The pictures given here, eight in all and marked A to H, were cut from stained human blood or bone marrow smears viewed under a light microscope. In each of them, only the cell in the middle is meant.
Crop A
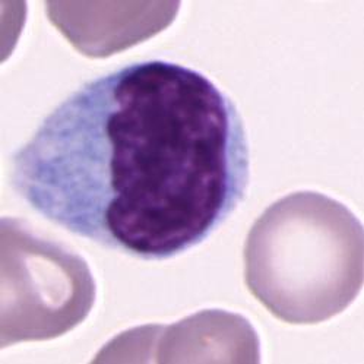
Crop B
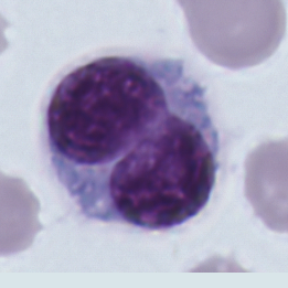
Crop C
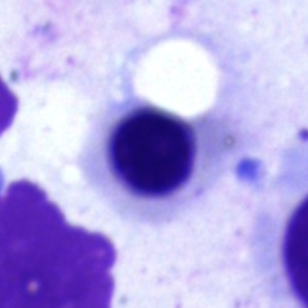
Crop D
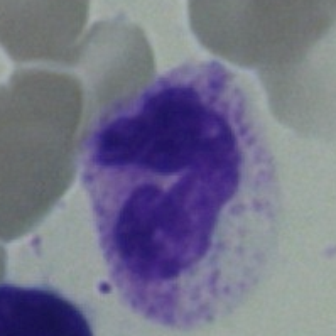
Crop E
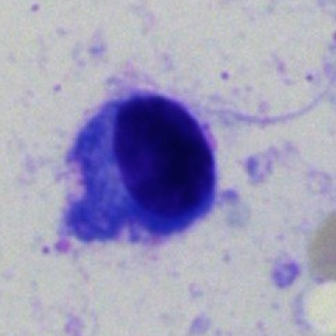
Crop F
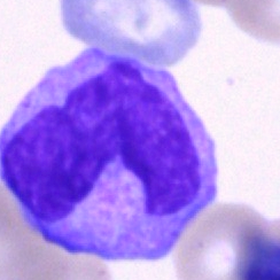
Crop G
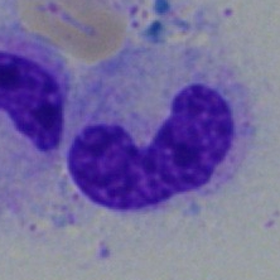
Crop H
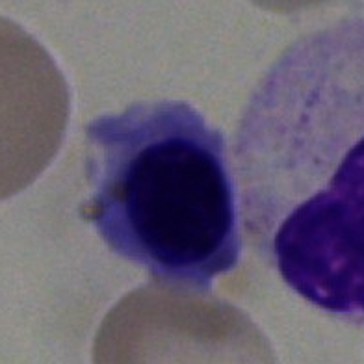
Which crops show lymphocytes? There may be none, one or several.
none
